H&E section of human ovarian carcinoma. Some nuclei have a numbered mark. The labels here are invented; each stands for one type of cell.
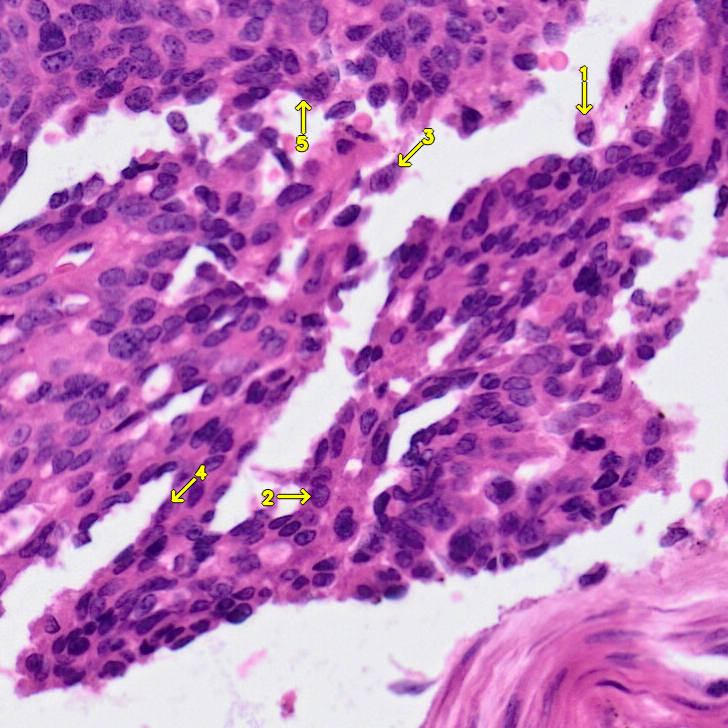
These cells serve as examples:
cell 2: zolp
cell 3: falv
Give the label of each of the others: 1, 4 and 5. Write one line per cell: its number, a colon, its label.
1: falv
4: zolp
5: zolp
